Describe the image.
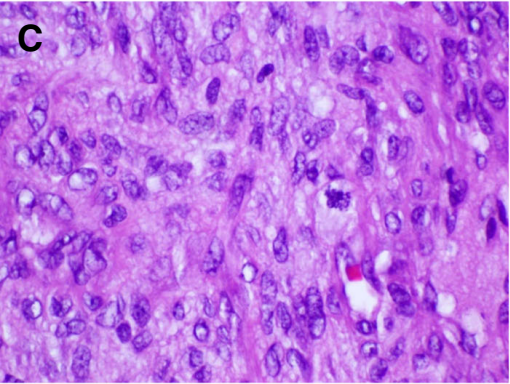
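Tumor spindle cells lie closely packed in a pale pink, fibrillary background without clear borders between cells. Their nuclei vary in shape from oval to elongated and are vesicular, with pale open chromatin, a crisp nuclear membrane and small nucleoli.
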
